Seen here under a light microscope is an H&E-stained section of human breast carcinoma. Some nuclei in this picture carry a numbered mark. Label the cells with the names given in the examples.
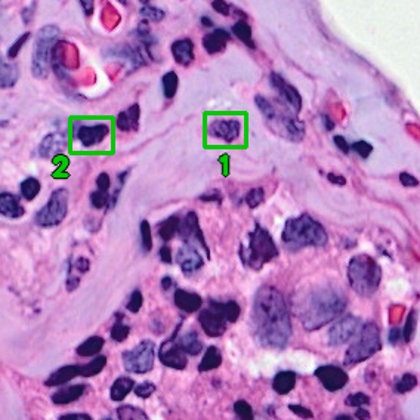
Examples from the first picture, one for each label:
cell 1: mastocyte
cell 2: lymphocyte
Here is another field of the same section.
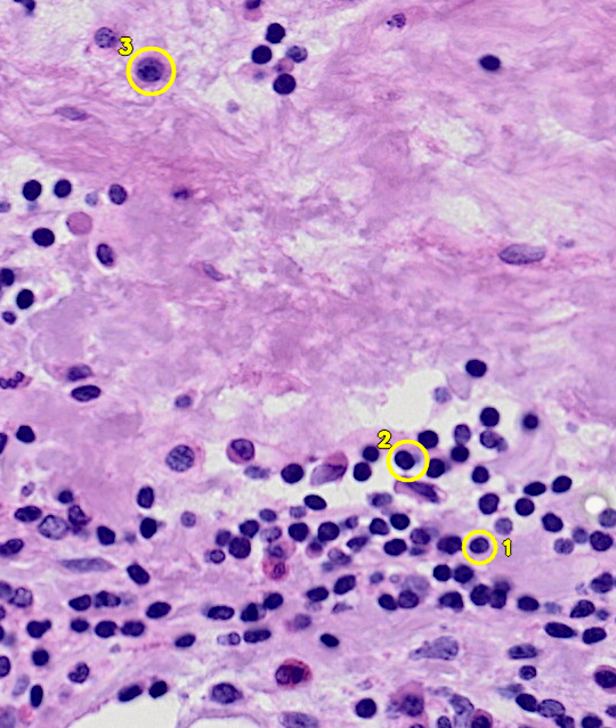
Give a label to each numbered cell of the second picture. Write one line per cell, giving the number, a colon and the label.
1: lymphocyte
2: lymphocyte
3: mastocyte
